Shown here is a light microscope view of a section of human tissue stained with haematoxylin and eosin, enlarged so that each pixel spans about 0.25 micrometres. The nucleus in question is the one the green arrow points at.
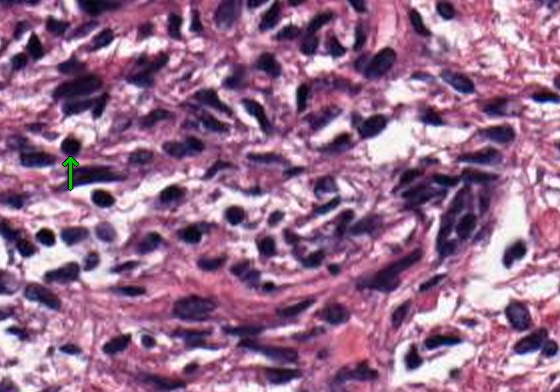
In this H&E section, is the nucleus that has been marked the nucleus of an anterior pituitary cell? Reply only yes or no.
no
